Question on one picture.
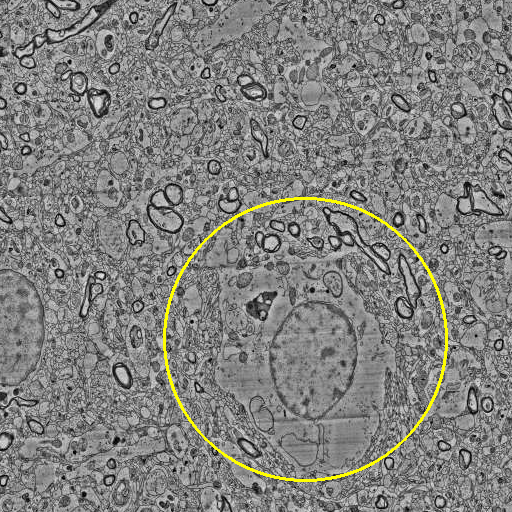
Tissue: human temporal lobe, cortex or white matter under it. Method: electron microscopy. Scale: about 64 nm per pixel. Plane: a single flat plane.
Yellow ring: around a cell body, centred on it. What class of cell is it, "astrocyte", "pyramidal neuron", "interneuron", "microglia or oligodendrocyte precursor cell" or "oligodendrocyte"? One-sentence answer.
This is an astrocyte, the cell the ring is centred on.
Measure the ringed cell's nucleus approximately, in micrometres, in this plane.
The nucleus is approximately 8 micrometers long by 6 micrometers wide in this plane.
